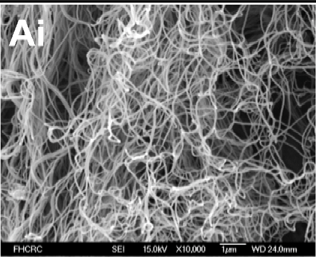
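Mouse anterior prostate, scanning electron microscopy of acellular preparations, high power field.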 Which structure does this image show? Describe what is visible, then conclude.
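Thin, separate fibrils run in many directions. The fibrils form a loose, open network with spaces between them.
Conclusion: collagen meshwork of loosely woven fibrils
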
